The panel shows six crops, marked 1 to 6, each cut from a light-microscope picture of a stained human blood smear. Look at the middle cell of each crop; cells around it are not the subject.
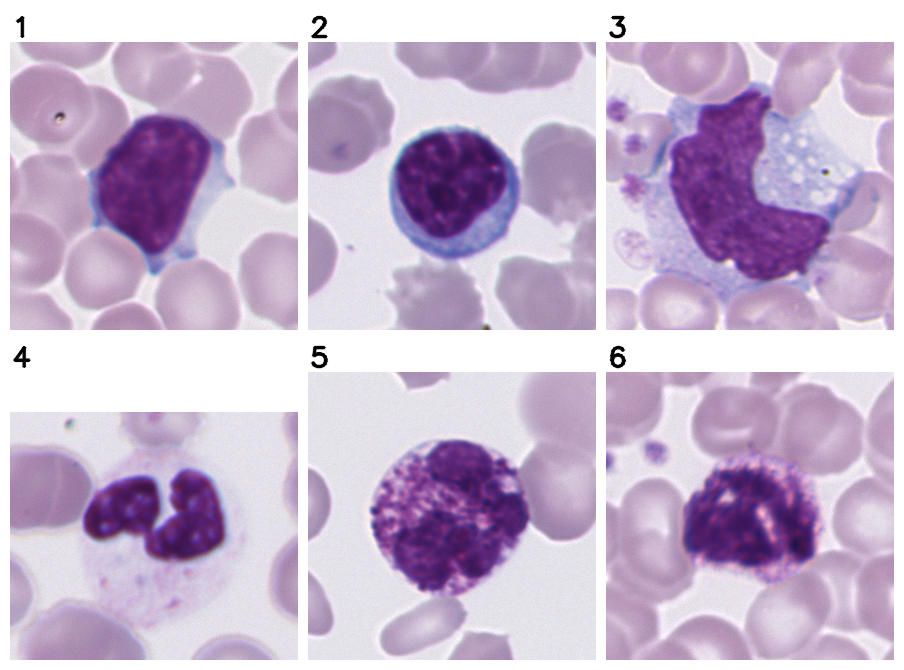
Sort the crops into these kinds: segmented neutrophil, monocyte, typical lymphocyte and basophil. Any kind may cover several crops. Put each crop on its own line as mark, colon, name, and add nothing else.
1: typical lymphocyte
2: typical lymphocyte
3: monocyte
4: segmented neutrophil
5: basophil
6: basophil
